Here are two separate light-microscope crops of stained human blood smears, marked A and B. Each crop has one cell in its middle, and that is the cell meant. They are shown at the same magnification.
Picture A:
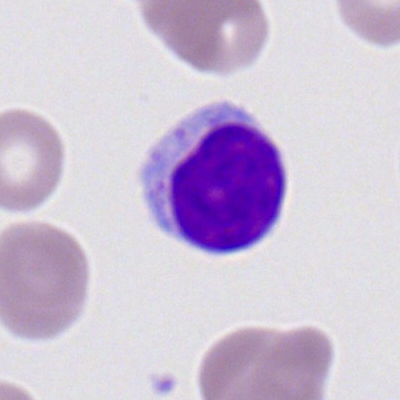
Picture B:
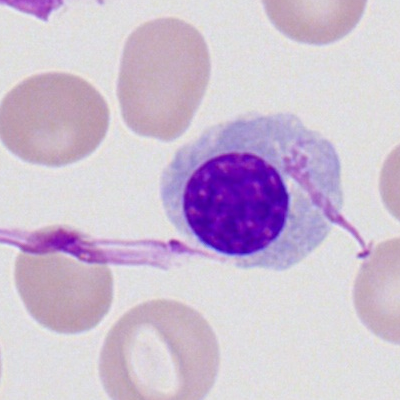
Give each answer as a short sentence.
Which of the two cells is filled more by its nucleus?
The nucleus fills more of the cell in picture A than in picture B.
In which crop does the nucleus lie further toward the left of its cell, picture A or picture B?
The nucleus in picture B lies further toward the left of its cell.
